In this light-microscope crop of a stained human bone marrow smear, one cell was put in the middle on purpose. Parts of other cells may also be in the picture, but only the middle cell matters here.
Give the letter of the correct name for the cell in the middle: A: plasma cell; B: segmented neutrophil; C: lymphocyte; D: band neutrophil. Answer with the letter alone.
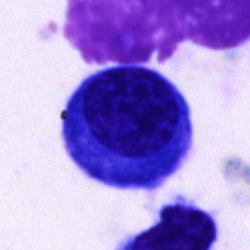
A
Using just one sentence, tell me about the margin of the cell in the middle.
Smooth outline, no projections: that is the whole story of its edge.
